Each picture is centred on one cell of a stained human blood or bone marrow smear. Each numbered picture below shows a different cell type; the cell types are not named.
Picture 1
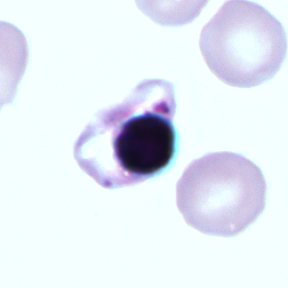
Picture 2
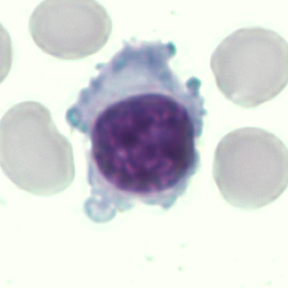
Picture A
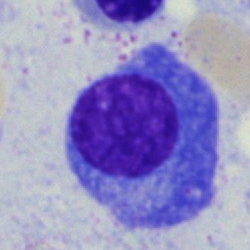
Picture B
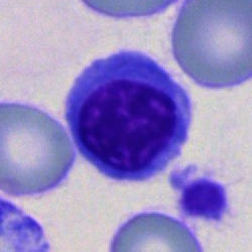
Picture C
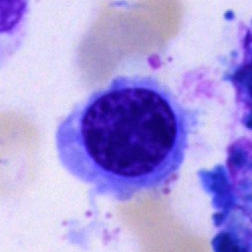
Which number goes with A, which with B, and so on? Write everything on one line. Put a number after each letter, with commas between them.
A 2, B 1, C 1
